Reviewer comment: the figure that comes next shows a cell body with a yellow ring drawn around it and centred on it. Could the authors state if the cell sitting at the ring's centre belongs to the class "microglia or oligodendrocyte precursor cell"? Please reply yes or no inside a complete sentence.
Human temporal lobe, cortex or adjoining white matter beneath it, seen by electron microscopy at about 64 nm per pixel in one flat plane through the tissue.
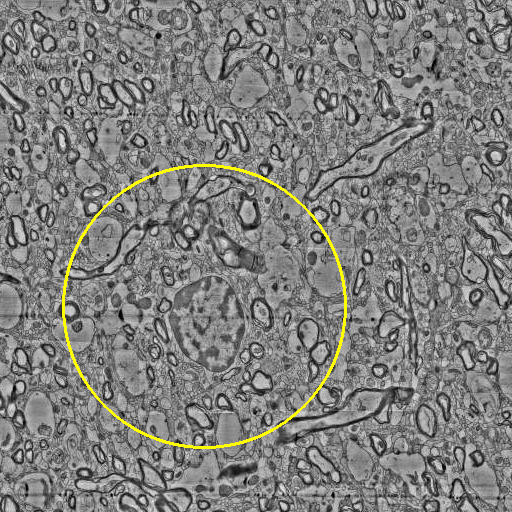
Yes, in the figure, the cell at the ring's centre belongs to that class.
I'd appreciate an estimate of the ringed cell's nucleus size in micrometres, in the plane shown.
Roughly 6 by 5 micrometres is the size of the nucleus in this plane.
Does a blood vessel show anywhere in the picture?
No, none is visible.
